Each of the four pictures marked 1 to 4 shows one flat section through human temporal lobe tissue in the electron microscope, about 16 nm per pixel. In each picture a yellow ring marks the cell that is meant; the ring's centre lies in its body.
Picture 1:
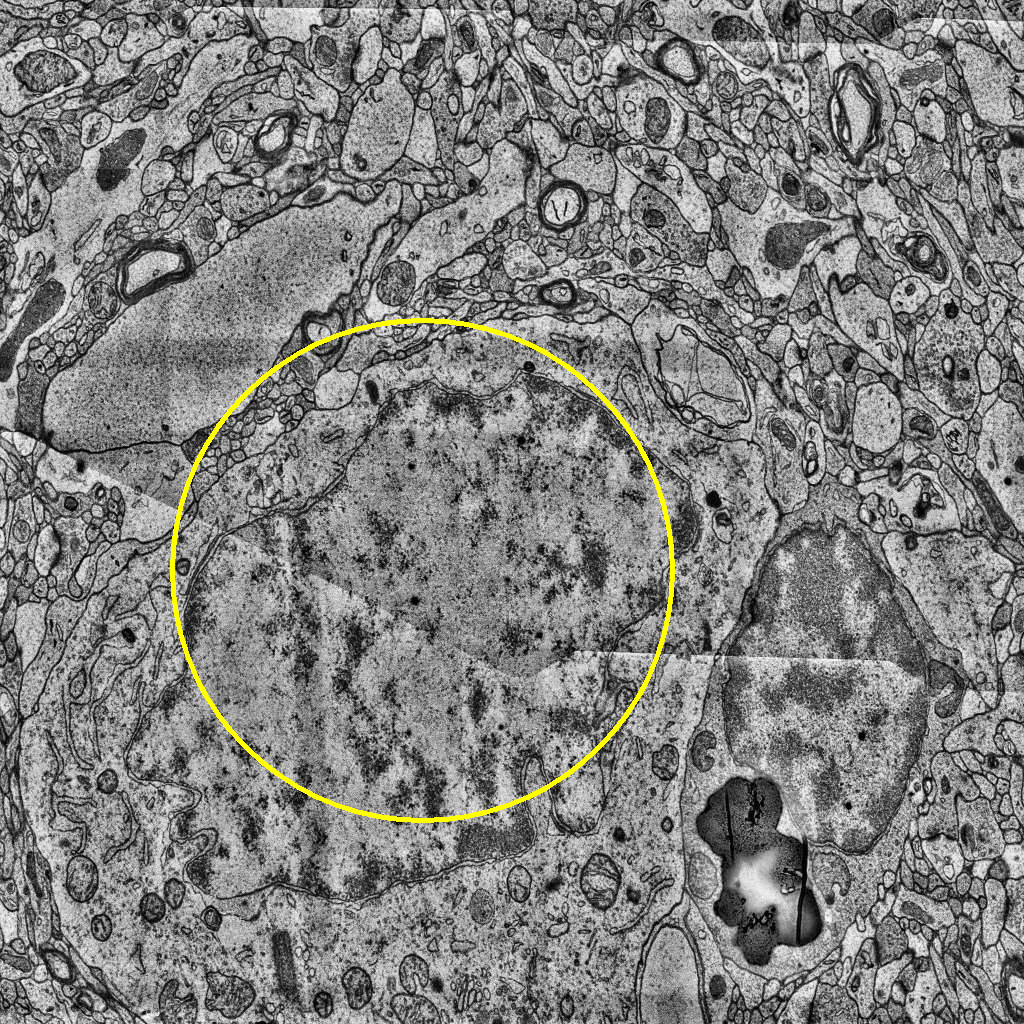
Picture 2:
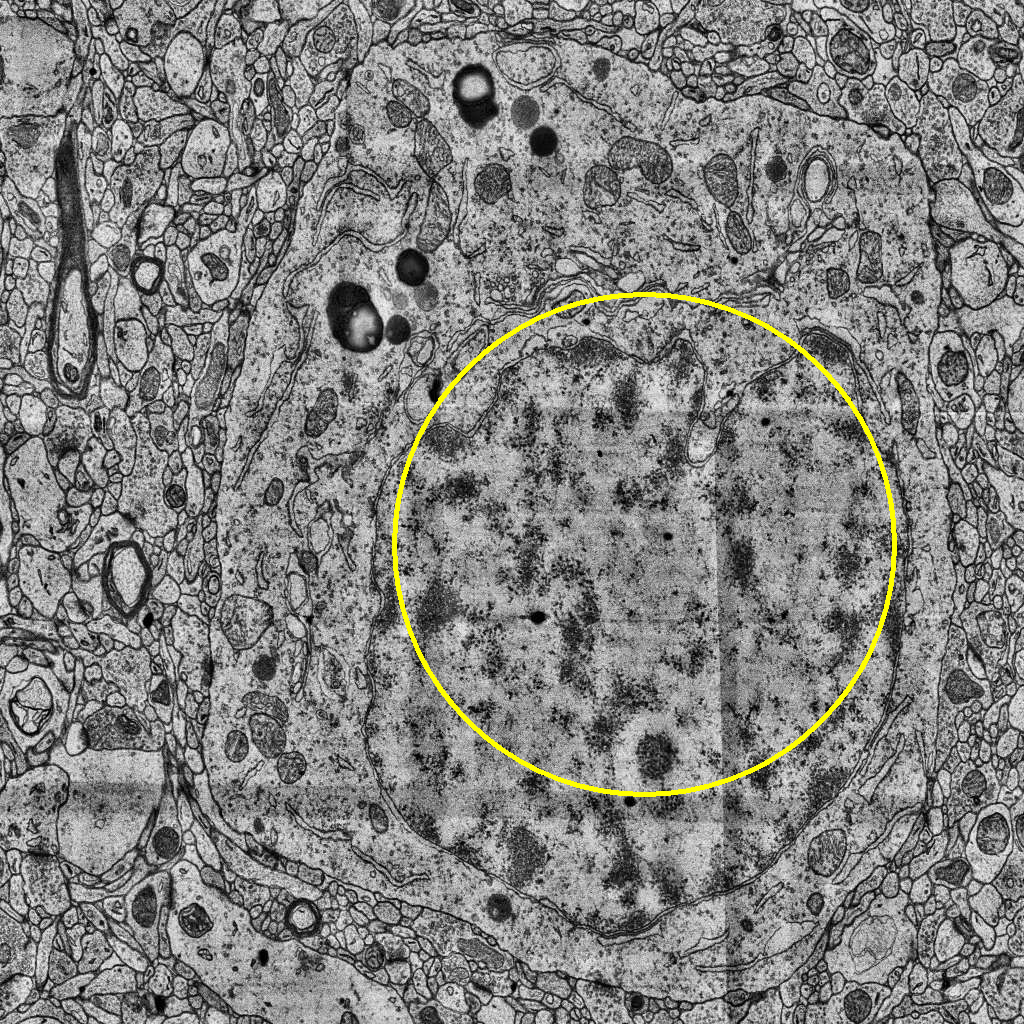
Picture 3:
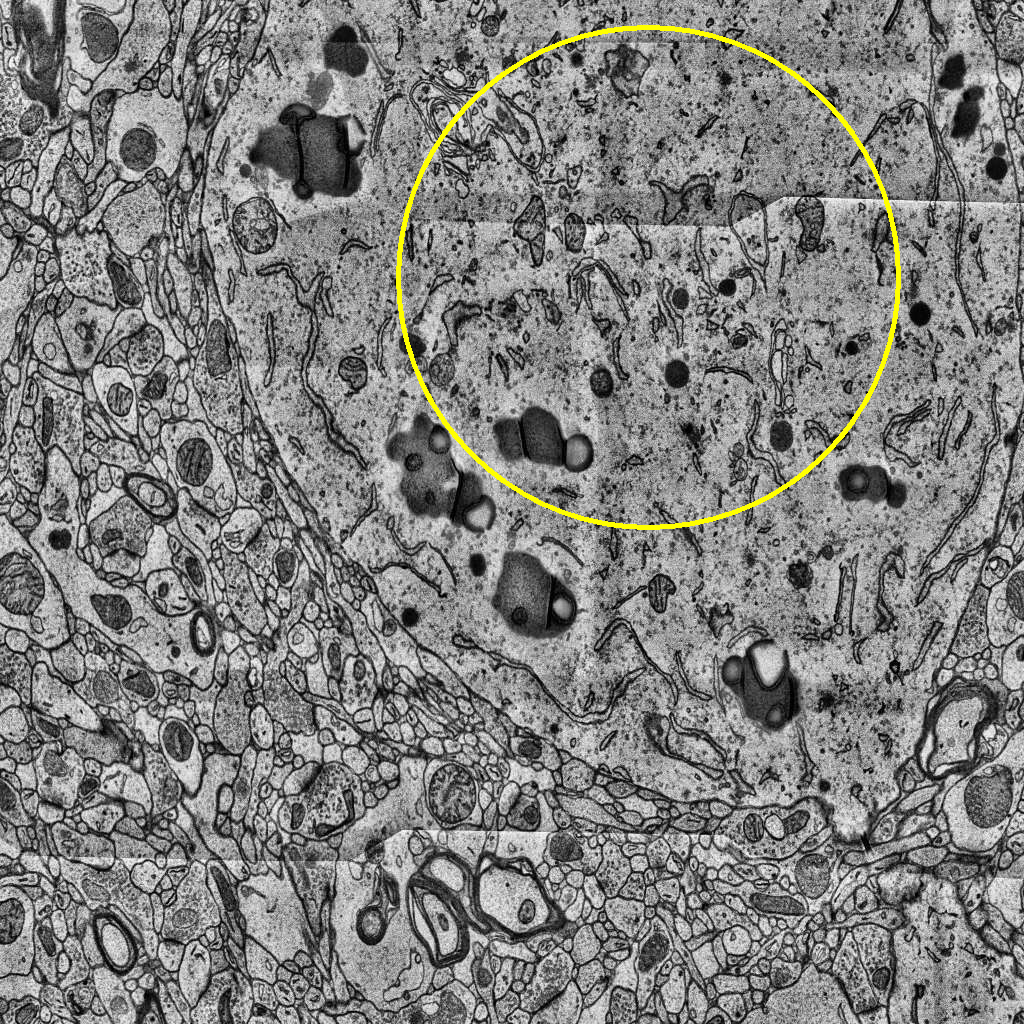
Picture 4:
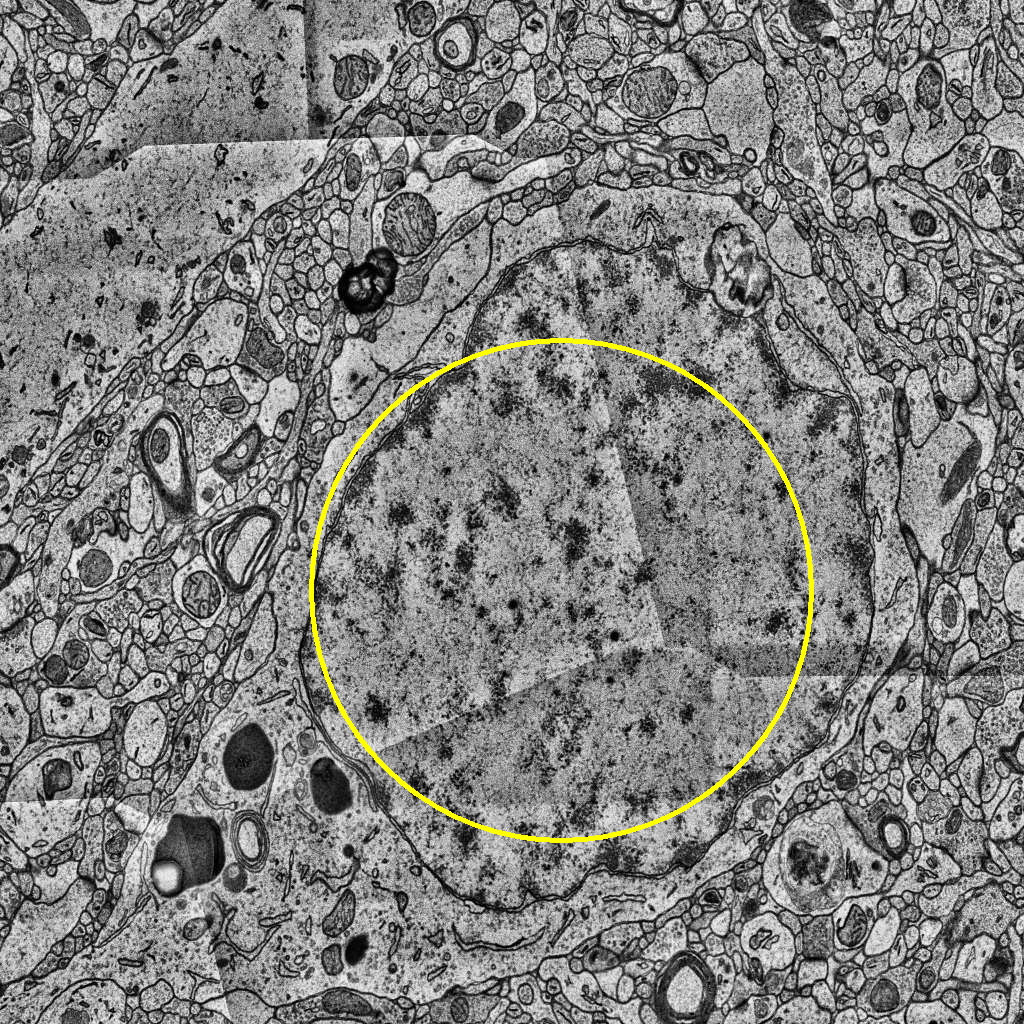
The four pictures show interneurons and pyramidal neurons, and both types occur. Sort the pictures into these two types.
Pictures 1, 2 and 4 show interneurons, and picture 3 shows a pyramidal neuron.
